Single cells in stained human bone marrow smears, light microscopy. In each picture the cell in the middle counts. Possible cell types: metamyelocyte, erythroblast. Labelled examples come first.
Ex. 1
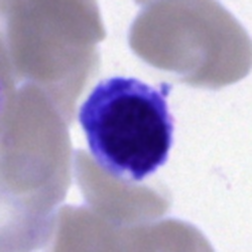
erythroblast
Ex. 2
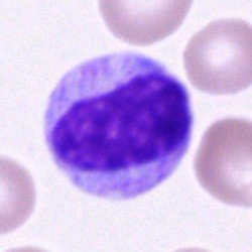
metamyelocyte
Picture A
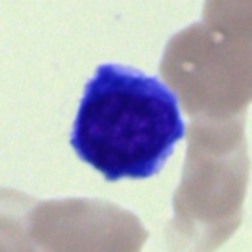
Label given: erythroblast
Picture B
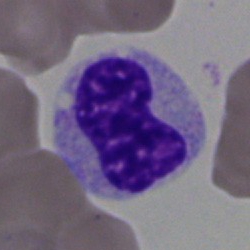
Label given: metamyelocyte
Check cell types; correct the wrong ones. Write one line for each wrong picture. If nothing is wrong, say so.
All labels are correct.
